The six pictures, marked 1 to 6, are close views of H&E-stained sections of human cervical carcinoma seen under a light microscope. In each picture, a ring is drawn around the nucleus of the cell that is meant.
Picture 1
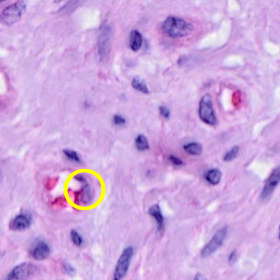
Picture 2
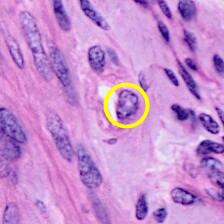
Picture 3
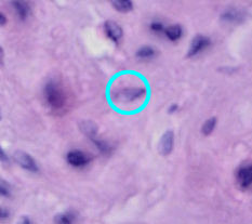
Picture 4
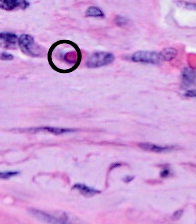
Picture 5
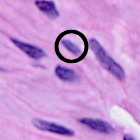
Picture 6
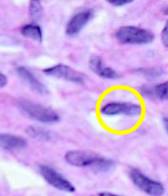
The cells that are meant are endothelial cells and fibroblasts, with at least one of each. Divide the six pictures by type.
1: endothelial cell
2: endothelial cell
3: fibroblast
4: endothelial cell
5: fibroblast
6: fibroblast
